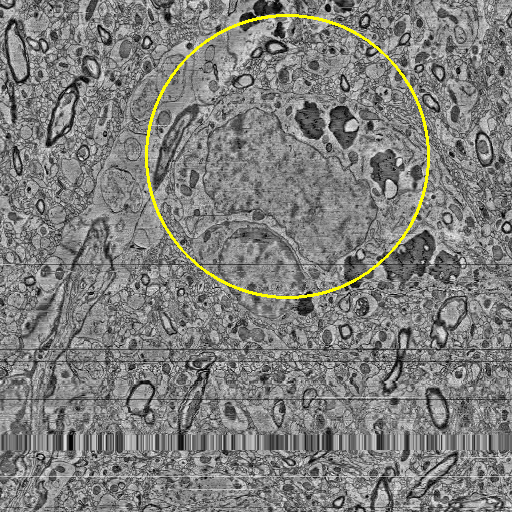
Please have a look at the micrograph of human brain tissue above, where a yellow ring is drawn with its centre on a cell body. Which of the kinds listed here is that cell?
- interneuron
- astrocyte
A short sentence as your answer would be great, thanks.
At the centre of the ring sits an interneuron.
